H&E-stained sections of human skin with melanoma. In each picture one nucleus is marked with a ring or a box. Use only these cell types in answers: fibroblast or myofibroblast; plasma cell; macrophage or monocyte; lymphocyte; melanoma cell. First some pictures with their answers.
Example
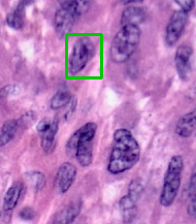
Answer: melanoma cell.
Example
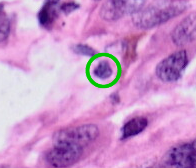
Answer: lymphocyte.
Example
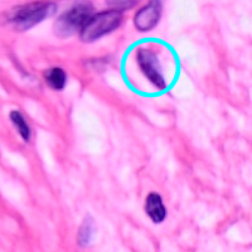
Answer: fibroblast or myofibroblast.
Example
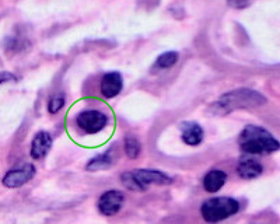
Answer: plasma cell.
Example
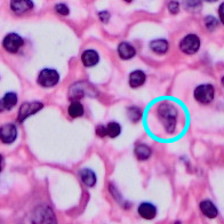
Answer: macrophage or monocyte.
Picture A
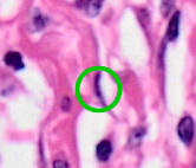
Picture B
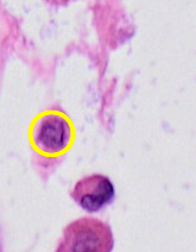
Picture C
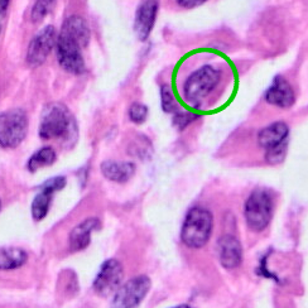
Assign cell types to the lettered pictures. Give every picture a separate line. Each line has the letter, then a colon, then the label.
A: fibroblast or myofibroblast.
B: macrophage or monocyte.
C: melanoma cell.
